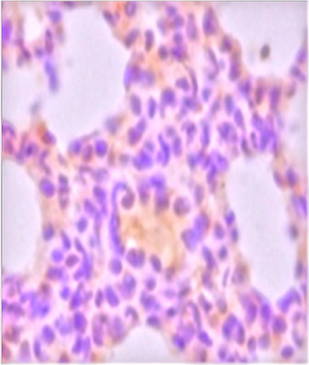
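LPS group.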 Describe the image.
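This is lung tissue with alveolar walls that are markedly thickened and packed with cells. Many small round and oval nuclei stained purple crowd the septa, so that the air spaces appear as a few rounded clear gaps at the edges. Among the crowded cells there is a diffuse brown-yellow stain, strongest in a patch near the centre and along the borders of the air spaces. The density of nuclei in the walls suggests an infiltrate of inflammatory cells between the lining alveolar epithelial cells, in contrast to the thin, delicate septa of normal lung.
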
